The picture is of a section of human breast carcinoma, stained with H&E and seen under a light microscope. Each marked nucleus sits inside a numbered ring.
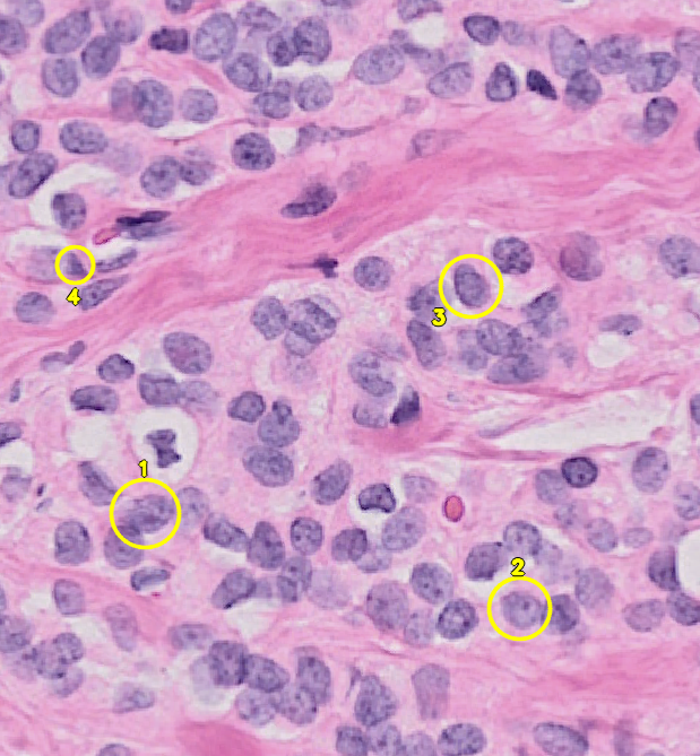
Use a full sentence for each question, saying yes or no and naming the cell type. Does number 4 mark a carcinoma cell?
No, cell 4 is classified as an endothelial cell rather than a carcinoma cell.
